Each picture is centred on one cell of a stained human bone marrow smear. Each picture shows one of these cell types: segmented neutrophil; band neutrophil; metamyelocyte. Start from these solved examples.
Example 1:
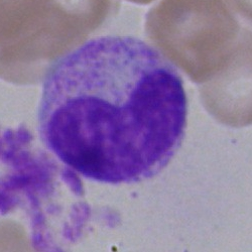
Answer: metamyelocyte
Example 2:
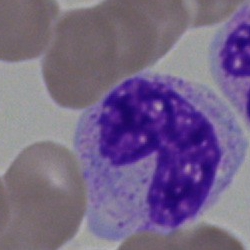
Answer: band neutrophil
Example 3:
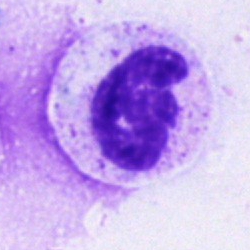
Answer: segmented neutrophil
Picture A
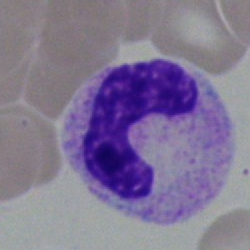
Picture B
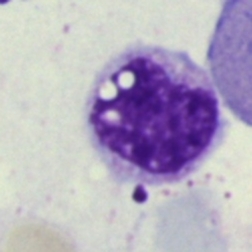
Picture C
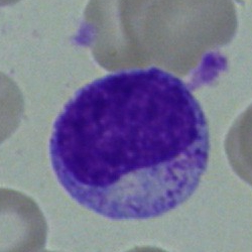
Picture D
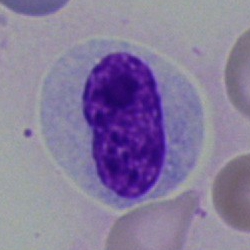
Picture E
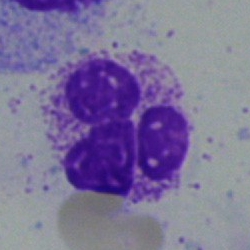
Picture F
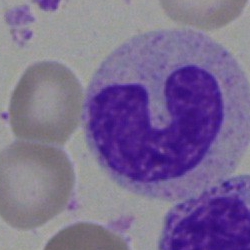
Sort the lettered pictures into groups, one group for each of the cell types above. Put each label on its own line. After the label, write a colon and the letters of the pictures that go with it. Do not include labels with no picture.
segmented neutrophil: E
band neutrophil: A, F
metamyelocyte: B, C, D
